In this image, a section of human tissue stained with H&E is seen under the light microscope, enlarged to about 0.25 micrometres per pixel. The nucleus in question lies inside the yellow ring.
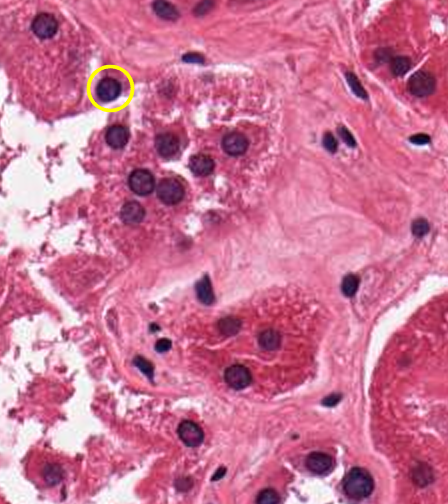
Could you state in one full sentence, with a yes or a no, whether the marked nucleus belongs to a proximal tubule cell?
Yes, the marked nucleus is recognised as belonging to a proximal tubule cell.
